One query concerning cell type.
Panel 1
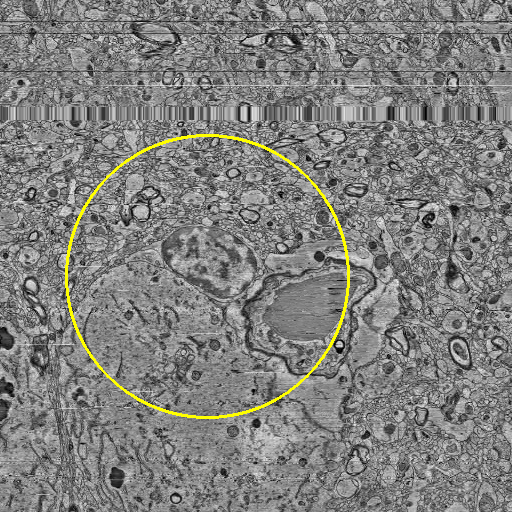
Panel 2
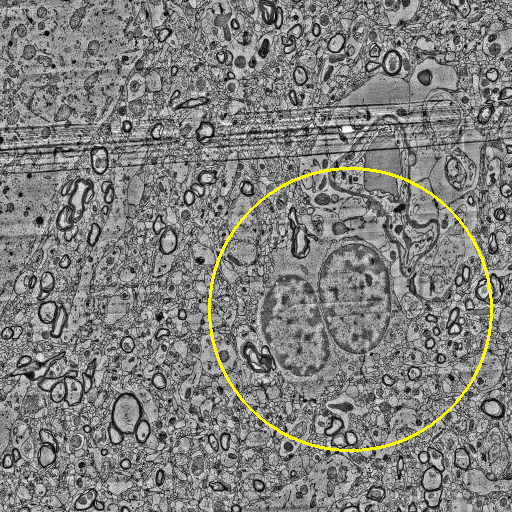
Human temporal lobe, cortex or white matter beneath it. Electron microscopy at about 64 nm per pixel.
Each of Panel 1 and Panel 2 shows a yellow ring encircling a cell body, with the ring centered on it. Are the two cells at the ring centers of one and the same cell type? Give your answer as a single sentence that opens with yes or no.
No, the cell centered in Panel 1 and the one in Panel 2 are of two types.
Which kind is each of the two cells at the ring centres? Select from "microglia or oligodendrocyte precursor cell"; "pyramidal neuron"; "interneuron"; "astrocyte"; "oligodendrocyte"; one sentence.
The cell at the centre of the ring is a microglial cell or oligodendrocyte precursor cell in the first picture and an oligodendrocyte in the second.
